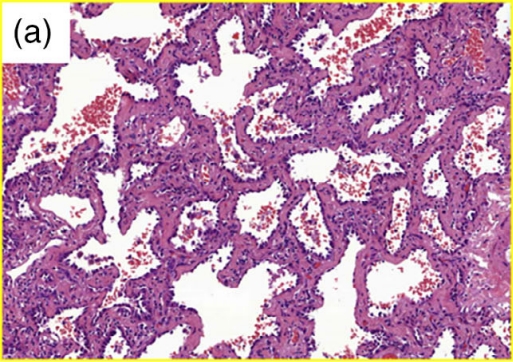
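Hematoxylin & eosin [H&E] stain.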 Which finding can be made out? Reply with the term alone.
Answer: Lepidic pattern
